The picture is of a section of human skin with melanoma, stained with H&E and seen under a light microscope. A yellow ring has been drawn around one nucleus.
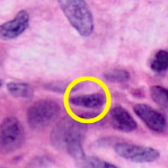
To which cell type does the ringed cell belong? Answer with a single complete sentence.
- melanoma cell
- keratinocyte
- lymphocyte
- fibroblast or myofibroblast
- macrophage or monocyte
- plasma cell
As far as its identity is concerned, the ringed cell is a keratinocyte.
